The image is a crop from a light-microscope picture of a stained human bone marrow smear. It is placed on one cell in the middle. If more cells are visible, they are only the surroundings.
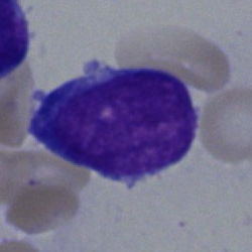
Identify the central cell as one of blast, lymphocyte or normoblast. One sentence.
Looking at the middle of the crop, the cell there is a blast.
